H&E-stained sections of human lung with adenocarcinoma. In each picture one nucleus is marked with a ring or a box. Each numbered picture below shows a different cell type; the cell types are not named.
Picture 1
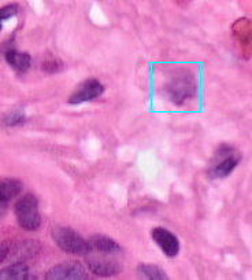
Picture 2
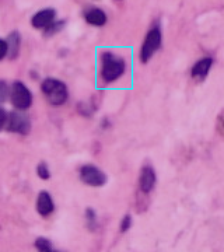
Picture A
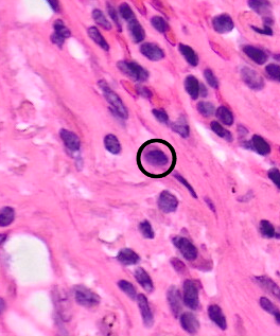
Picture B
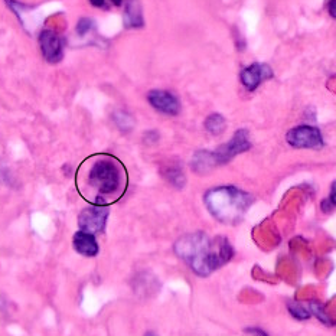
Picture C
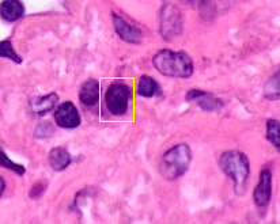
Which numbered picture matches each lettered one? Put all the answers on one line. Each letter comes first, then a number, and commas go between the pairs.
A 2, B 2, C 2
